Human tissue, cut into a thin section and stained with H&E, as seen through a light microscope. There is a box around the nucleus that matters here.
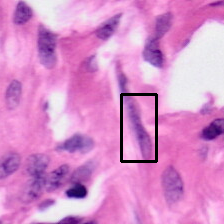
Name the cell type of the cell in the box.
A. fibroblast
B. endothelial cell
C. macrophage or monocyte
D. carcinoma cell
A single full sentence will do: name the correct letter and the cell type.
Option A, identifying the cell in the box as a fibroblast, is correct.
